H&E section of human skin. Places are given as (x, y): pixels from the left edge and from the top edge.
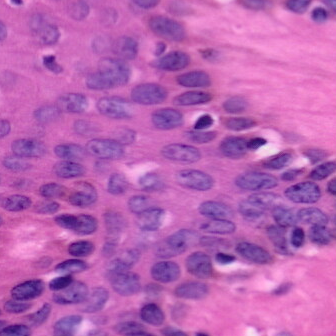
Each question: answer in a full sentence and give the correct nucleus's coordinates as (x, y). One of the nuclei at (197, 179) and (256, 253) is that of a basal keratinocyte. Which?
It is the nucleus at (256, 253) that belongs to a basal keratinocyte.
